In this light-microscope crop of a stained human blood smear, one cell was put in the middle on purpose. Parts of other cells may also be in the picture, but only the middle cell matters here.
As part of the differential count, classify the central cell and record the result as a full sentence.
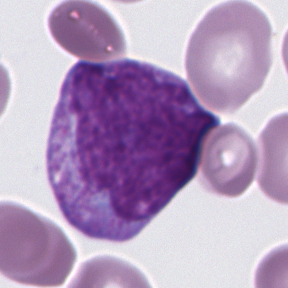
To answer, the cell in the center of the crop is an atypical promyelocyte.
